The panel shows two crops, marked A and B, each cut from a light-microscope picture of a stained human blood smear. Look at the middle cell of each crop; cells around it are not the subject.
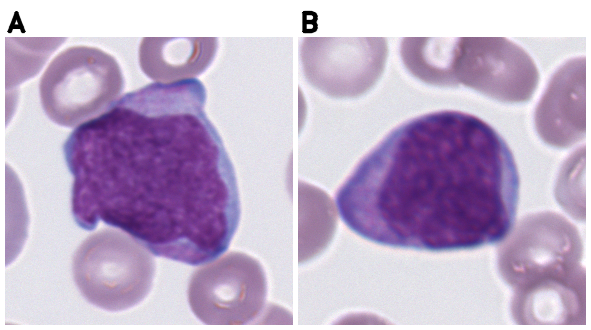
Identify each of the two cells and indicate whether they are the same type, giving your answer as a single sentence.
Yes, both of the crops show atypical promyelocytes.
